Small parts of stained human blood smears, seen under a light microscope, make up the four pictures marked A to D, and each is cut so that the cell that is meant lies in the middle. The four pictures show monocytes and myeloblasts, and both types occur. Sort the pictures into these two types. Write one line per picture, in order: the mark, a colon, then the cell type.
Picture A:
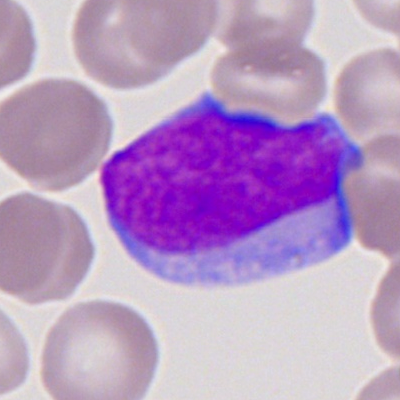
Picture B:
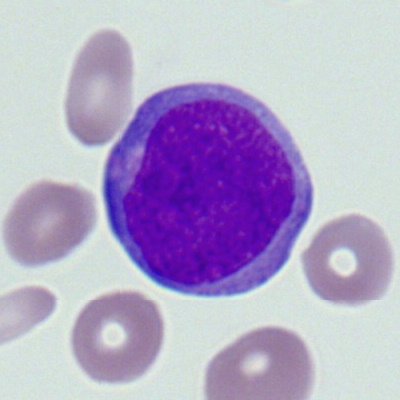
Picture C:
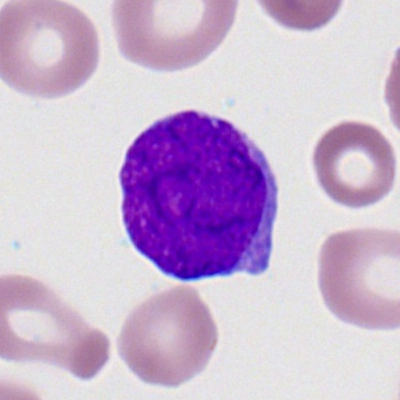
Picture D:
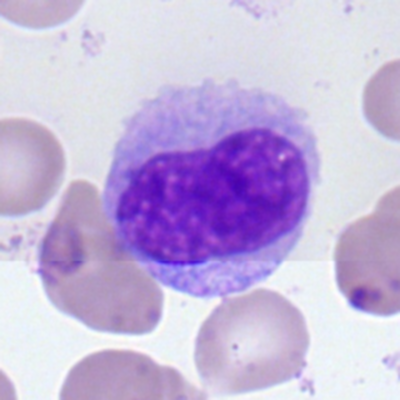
A: myeloblast
B: myeloblast
C: myeloblast
D: monocyte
